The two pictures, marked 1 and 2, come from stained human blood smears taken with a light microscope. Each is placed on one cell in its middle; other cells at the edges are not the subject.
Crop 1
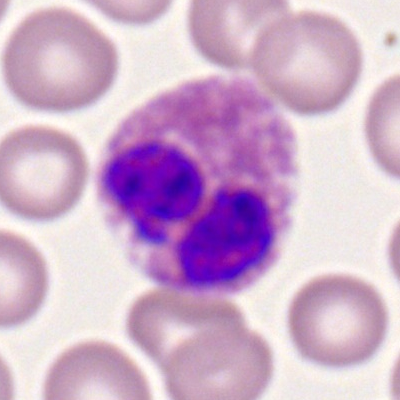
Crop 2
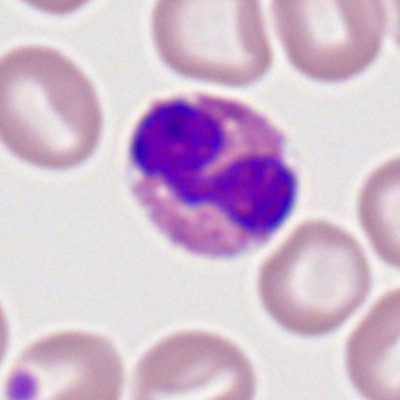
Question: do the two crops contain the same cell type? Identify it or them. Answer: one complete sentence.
Yes, the central cells in both of the crops are eosinophils.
